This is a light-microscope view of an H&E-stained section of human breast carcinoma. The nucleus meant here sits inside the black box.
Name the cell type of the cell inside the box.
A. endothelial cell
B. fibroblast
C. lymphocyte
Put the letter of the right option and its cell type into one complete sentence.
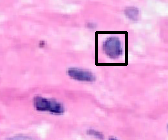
Option C is the one to take: the cell inside the box is a lymphocyte.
